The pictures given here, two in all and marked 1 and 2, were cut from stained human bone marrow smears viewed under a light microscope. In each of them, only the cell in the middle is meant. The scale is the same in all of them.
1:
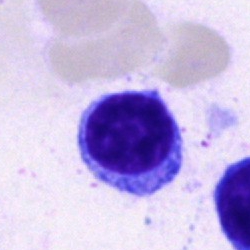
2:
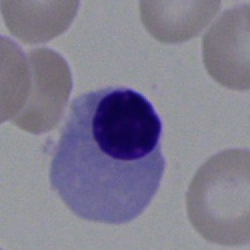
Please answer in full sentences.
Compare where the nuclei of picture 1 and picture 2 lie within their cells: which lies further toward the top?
Seen within its cell, the nucleus in picture 2 lies further toward the top.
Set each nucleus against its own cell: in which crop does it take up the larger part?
It is the cell in picture 1 that is filled more by its nucleus.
